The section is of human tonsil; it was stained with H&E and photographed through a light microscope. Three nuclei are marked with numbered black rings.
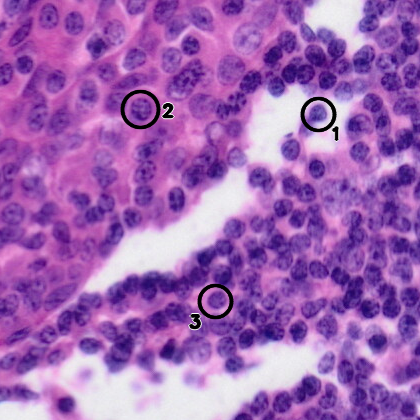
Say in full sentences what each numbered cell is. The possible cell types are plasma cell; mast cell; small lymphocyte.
Cells 1 and 3 are small lymphocytes. Cell 2 is a plasma cell.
